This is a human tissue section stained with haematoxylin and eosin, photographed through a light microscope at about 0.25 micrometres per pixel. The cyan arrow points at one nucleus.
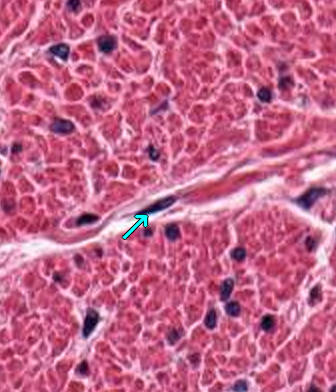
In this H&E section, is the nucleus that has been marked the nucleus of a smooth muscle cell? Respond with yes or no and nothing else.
no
